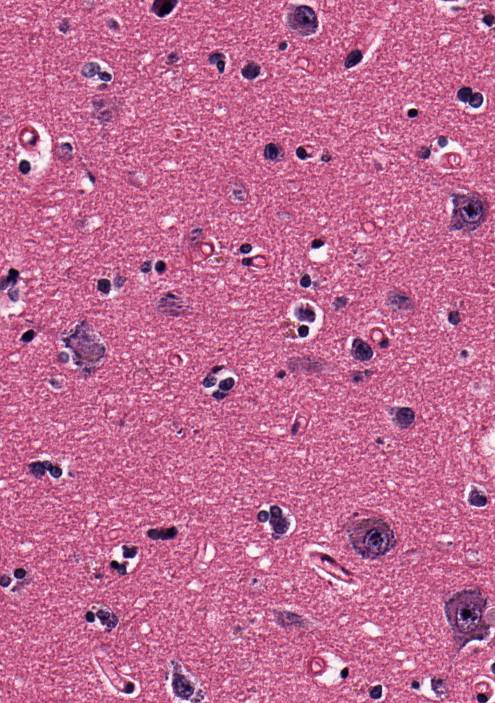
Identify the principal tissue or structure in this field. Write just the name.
cerebral cortex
